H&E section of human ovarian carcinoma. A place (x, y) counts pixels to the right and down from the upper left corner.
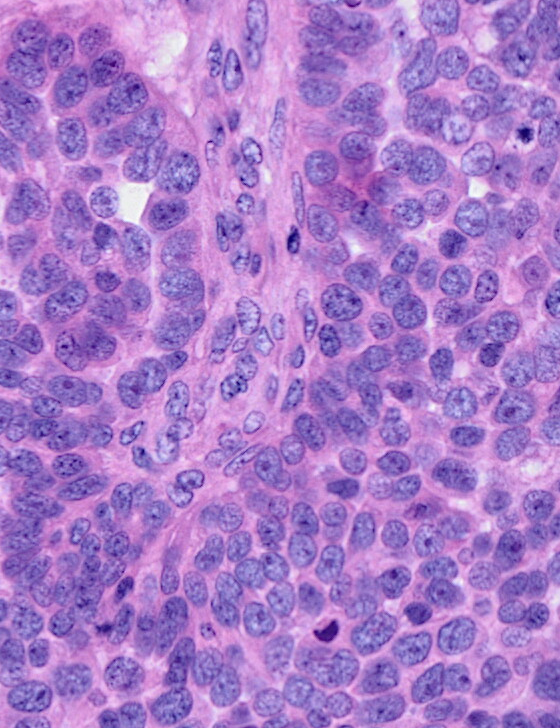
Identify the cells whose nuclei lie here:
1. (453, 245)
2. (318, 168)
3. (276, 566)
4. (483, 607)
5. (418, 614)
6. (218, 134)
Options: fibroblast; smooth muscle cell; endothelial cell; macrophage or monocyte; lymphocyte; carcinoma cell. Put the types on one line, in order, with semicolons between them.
carcinoma cell; carcinoma cell; carcinoma cell; macrophage or monocyte; carcinoma cell; fibroblast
